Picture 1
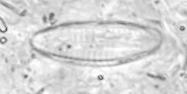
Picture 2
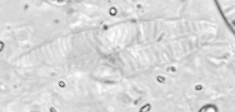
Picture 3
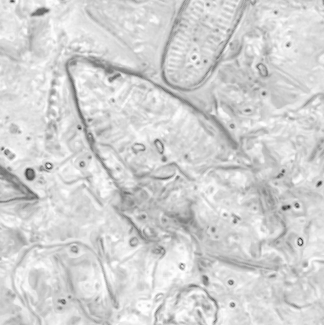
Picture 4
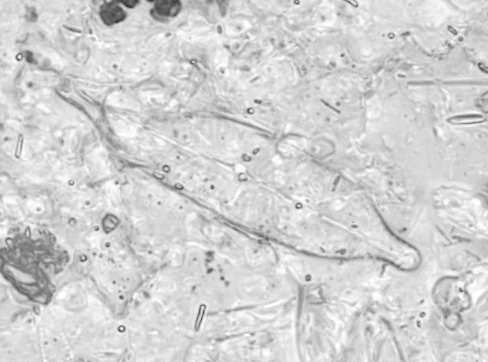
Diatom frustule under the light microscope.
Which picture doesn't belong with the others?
Picture 1.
